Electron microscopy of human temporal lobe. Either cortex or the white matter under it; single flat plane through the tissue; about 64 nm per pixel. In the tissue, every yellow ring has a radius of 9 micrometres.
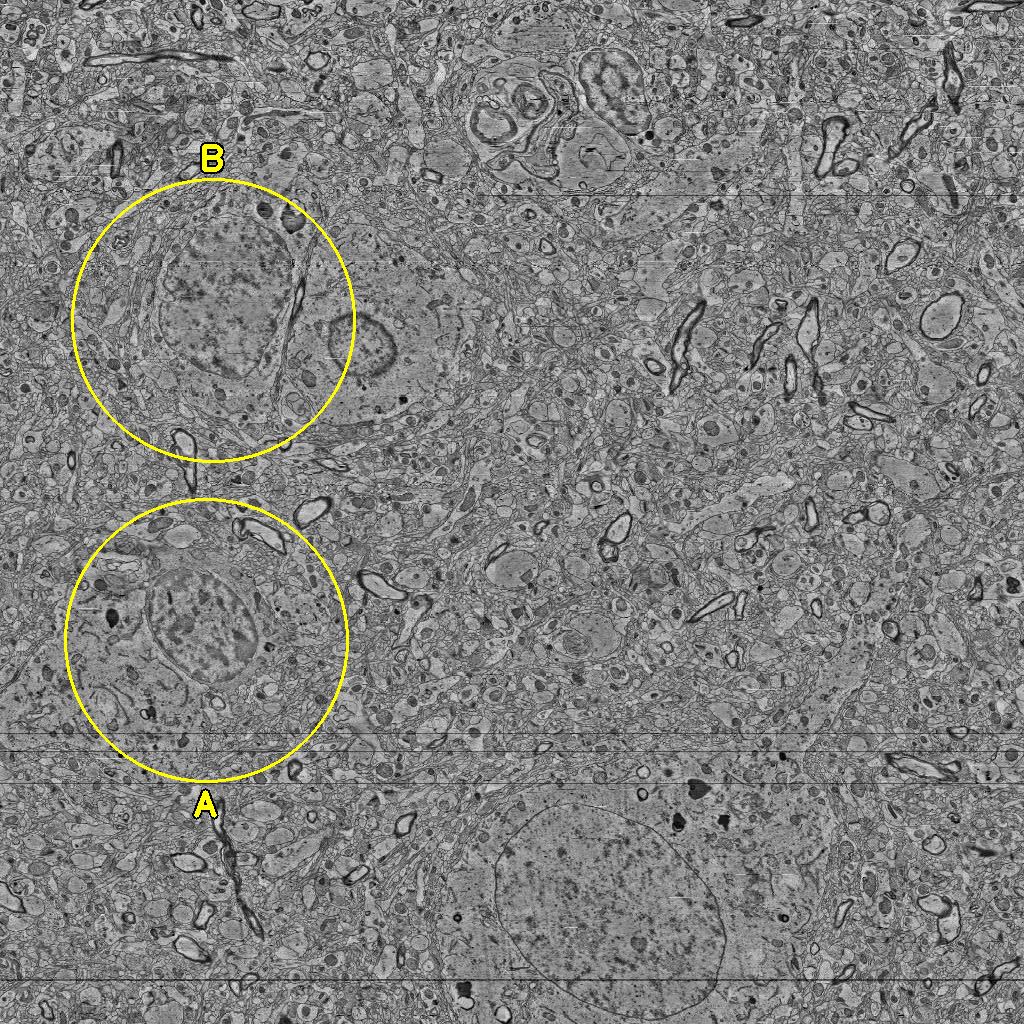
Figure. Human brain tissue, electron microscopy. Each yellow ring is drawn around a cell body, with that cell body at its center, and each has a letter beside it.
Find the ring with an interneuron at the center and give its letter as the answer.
B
